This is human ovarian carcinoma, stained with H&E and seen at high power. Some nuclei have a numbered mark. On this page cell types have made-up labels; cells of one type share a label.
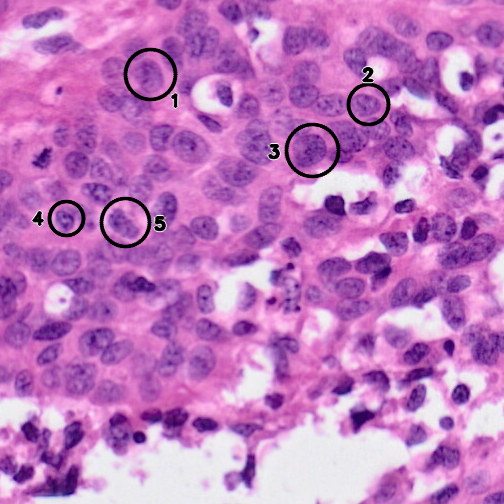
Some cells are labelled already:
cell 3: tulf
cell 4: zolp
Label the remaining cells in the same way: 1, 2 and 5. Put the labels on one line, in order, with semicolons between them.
tulf; tulf; zolp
